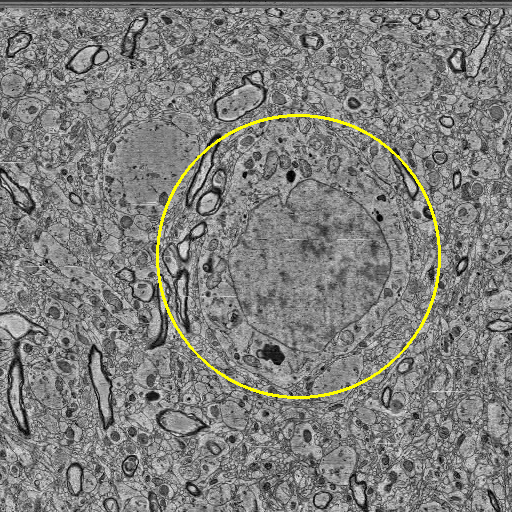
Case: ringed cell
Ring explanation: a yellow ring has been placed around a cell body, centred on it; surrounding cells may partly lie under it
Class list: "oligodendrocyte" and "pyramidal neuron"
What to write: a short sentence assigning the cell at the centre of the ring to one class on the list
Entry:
The cell at the ring's centre is a pyramidal neuron.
